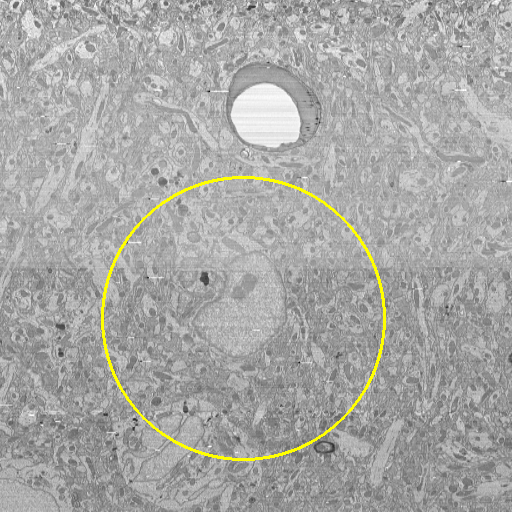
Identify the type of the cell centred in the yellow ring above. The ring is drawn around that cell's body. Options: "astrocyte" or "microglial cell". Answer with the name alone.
astrocyte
